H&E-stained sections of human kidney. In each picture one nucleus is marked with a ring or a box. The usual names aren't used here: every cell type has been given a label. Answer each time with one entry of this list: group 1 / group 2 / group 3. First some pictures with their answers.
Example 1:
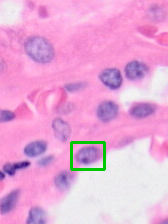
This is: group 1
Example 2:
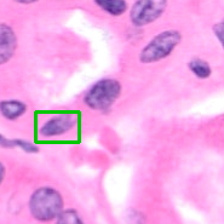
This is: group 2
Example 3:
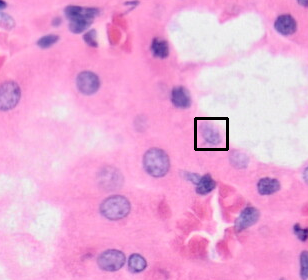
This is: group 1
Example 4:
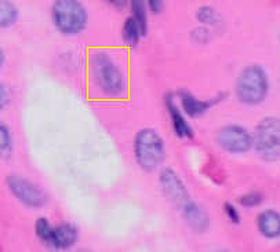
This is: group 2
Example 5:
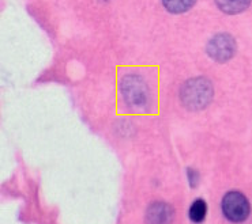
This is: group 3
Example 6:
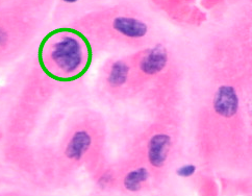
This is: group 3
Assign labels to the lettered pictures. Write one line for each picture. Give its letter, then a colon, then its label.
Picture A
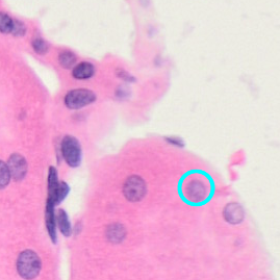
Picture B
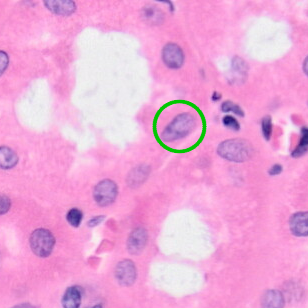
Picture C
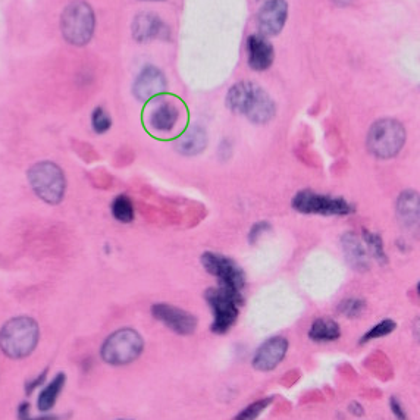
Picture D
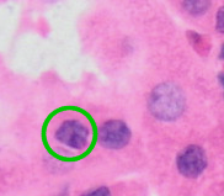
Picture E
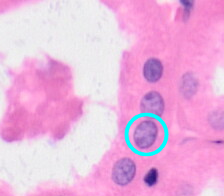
A: group 3
B: group 3
C: group 2
D: group 3
E: group 3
